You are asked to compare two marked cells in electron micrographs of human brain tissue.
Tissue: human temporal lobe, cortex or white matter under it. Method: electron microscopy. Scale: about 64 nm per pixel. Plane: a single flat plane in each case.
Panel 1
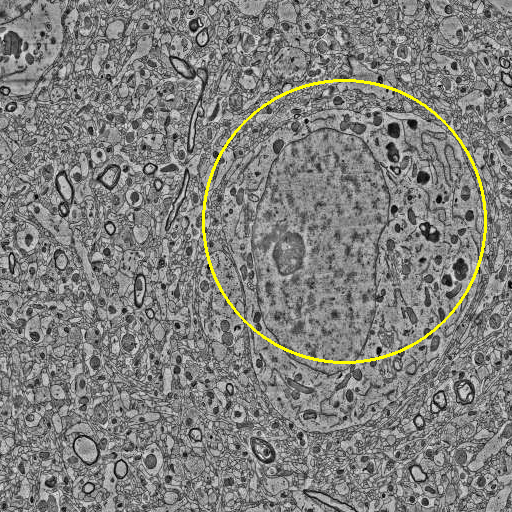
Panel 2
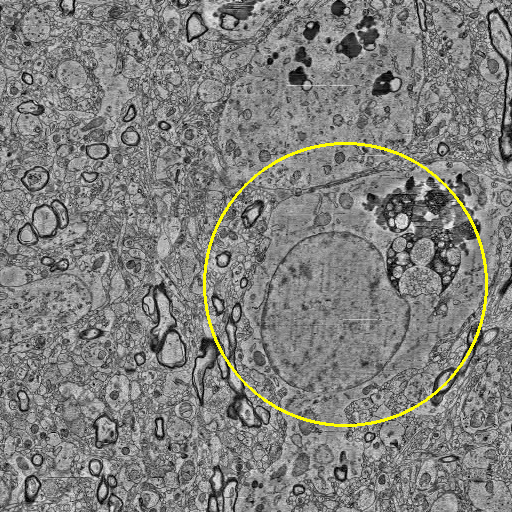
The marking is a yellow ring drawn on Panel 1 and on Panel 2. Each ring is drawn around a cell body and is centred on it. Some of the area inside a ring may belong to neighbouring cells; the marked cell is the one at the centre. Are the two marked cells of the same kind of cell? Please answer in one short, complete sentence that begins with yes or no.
No, the two marked cells are of two kinds.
